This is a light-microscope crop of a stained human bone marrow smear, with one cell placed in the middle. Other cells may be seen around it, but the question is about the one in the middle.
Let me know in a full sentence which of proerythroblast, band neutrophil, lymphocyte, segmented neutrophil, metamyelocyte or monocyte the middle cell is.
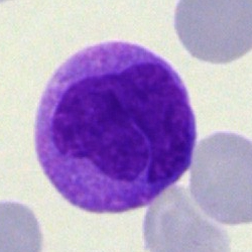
Framed in the middle of the crop is a monocyte.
